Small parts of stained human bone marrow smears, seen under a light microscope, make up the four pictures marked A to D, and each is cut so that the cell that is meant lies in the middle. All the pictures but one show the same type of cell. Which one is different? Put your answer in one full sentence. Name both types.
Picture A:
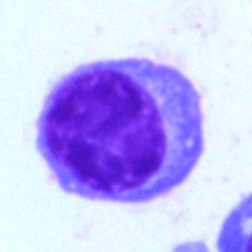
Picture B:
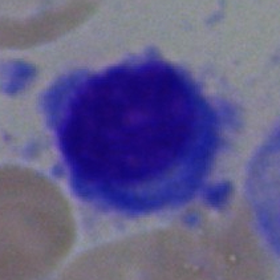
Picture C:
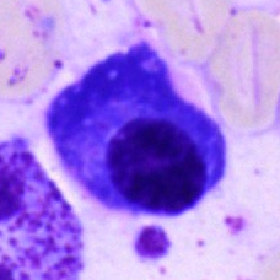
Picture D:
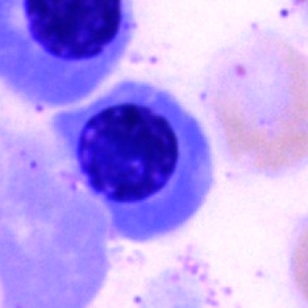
Unlike the rest, which show plasma cells, picture D shows an erythroblast.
